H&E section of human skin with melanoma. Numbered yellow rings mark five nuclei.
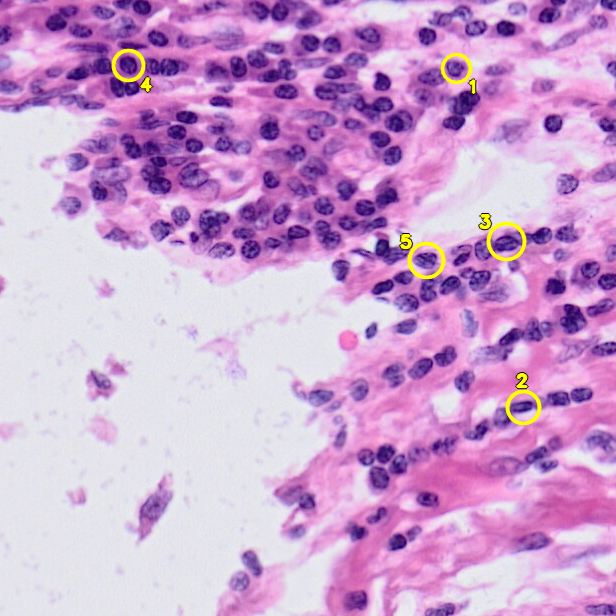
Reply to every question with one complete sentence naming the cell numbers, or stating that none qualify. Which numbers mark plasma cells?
Within the section, cells numbered 1 and 4 are plasma cells.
